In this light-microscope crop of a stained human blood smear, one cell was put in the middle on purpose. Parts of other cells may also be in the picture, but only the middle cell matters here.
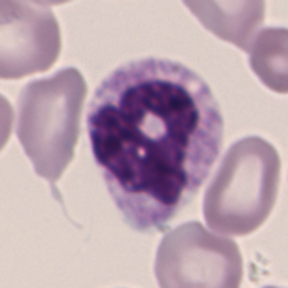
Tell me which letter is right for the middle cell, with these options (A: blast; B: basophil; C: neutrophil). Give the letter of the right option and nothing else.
C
